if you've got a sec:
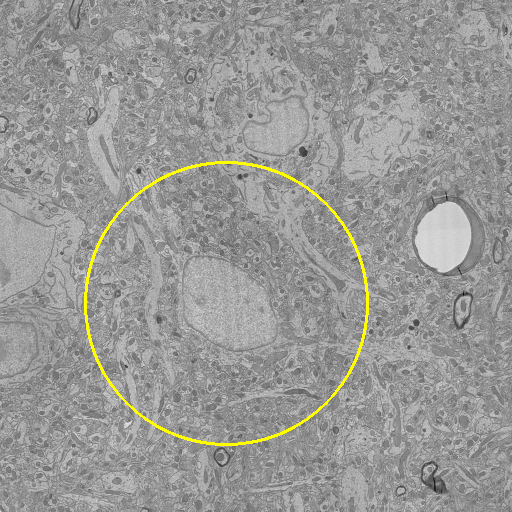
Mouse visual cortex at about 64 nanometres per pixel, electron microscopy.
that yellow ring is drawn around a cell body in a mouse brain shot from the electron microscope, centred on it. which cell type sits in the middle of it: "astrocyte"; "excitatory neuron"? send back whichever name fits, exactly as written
astrocyte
